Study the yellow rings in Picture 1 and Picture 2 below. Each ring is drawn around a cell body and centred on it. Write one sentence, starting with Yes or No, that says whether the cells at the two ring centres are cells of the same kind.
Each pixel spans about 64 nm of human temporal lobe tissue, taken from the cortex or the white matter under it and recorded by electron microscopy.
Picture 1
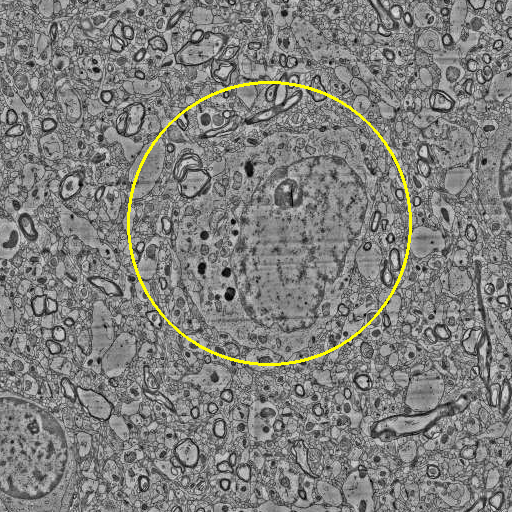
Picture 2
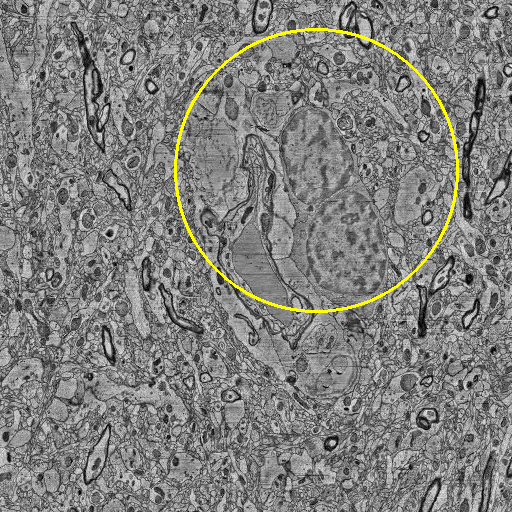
No, the cells at the ring centres are of two kinds.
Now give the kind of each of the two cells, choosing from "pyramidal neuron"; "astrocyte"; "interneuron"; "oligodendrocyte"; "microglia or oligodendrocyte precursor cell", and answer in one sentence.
The cell in the first picture is an interneuron, and the cell in the second is an oligodendrocyte.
